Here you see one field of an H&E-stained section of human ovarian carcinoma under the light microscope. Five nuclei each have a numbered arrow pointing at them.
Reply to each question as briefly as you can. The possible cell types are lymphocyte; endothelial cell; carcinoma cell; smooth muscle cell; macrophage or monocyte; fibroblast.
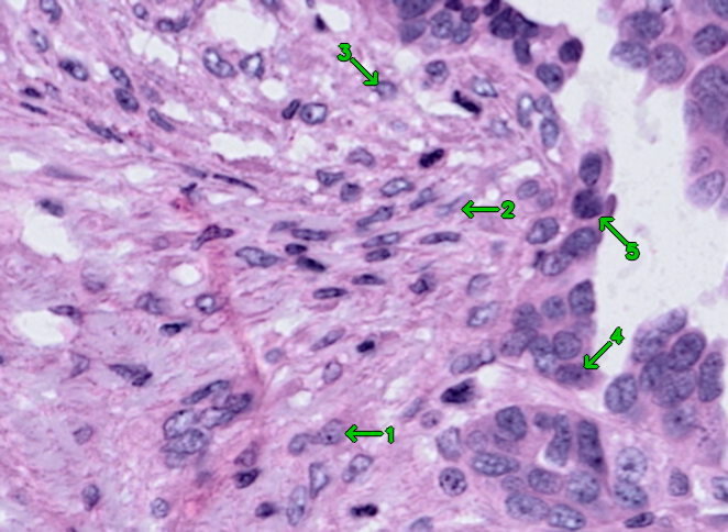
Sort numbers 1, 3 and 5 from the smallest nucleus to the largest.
3, 1, 5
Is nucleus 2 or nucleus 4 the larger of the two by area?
4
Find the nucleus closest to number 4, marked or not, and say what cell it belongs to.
carcinoma cell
